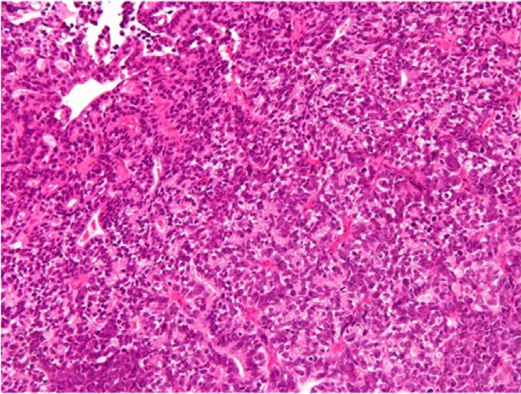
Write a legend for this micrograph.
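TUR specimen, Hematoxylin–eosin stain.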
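This is a small cell carcinoma, seen as solid sheets of tightly crowded small tumour cells. Thin pink strands of connective tissue and a few small vessels run between the cell sheets.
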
